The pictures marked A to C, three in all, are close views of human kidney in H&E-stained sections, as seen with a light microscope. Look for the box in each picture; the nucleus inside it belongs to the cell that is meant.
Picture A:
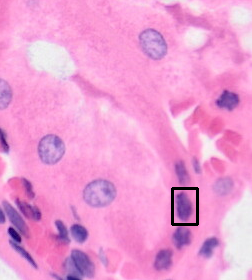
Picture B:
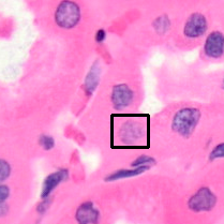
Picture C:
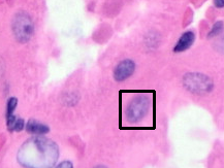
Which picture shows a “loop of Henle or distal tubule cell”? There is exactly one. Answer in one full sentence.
It is picture B that shows the “loop of Henle or distal tubule cell”.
